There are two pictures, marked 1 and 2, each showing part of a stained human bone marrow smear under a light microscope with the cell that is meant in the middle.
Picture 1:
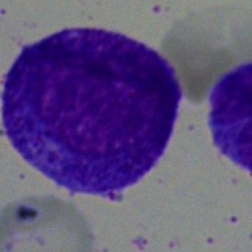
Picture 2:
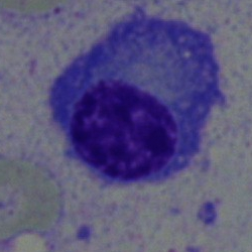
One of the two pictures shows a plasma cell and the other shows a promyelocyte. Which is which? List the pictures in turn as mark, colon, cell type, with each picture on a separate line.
1: promyelocyte
2: plasma cell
